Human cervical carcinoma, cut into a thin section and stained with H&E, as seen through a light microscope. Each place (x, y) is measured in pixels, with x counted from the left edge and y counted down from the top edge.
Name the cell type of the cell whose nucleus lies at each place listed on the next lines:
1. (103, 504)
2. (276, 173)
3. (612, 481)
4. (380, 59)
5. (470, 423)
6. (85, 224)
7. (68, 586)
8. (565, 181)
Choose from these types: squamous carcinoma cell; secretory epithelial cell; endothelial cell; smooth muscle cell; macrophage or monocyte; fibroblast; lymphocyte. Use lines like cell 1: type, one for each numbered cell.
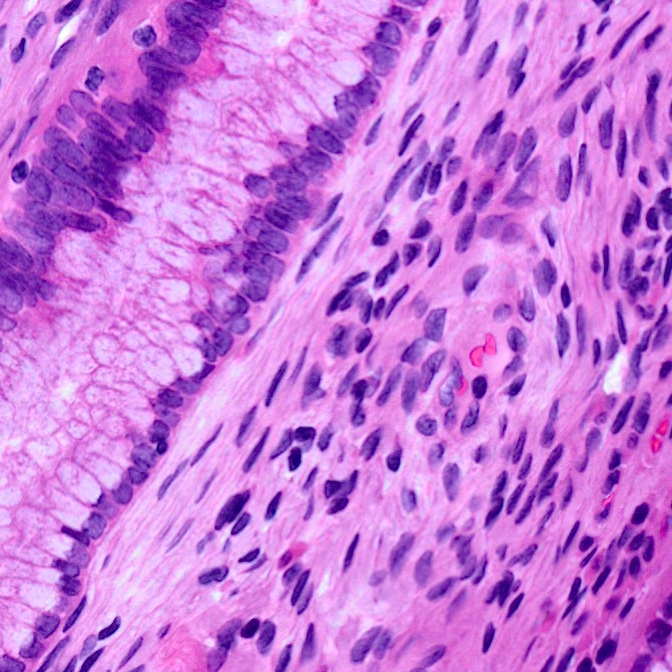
cell 1: secretory epithelial cell
cell 2: secretory epithelial cell
cell 3: endothelial cell
cell 4: secretory epithelial cell
cell 5: endothelial cell
cell 6: secretory epithelial cell
cell 7: secretory epithelial cell
cell 8: fibroblast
